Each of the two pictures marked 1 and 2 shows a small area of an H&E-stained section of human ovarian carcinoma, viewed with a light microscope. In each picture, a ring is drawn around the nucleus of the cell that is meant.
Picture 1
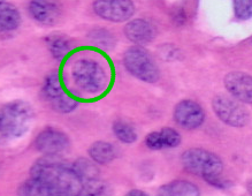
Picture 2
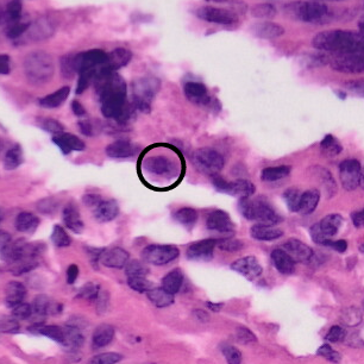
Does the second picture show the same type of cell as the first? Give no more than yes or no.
yes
